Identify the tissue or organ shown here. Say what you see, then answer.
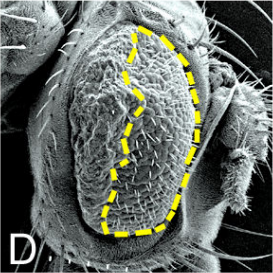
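Bristles project from the surface between facets and at the rim. Head cuticle with long bristles borders the structure. That points to this answer: adult eyes.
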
